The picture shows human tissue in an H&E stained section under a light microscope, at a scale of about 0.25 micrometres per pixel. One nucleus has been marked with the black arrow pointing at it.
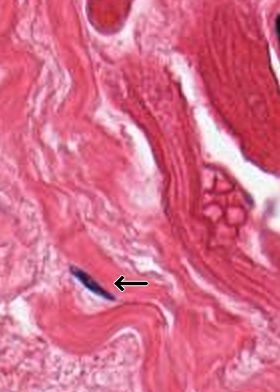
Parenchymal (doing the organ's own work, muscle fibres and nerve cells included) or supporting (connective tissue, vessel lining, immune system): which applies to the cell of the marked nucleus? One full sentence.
The marked nucleus is assigned to a supporting cell.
